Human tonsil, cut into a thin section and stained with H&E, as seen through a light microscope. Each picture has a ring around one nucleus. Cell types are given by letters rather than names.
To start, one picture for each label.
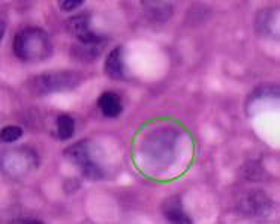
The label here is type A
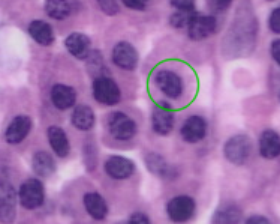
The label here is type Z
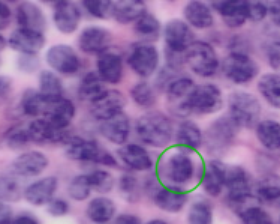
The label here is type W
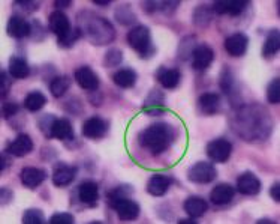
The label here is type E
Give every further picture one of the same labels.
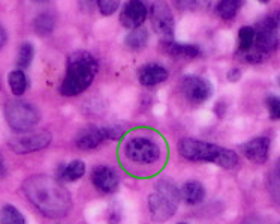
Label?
type Z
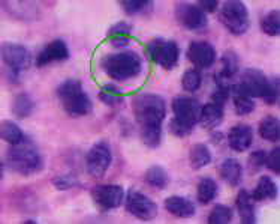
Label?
type E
